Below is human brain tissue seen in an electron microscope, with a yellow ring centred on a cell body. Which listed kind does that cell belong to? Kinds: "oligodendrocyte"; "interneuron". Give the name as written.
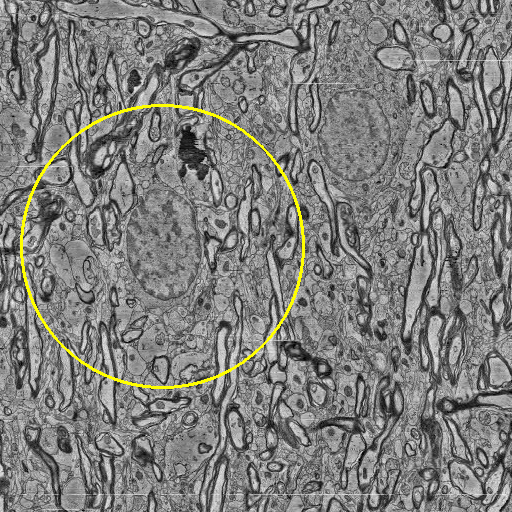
oligodendrocyte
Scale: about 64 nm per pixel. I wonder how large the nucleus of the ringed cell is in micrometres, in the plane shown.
Approximately 7 x 5 micrometres in this plane.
